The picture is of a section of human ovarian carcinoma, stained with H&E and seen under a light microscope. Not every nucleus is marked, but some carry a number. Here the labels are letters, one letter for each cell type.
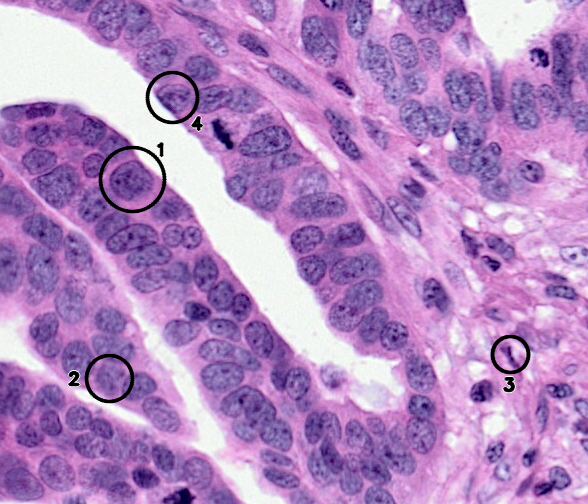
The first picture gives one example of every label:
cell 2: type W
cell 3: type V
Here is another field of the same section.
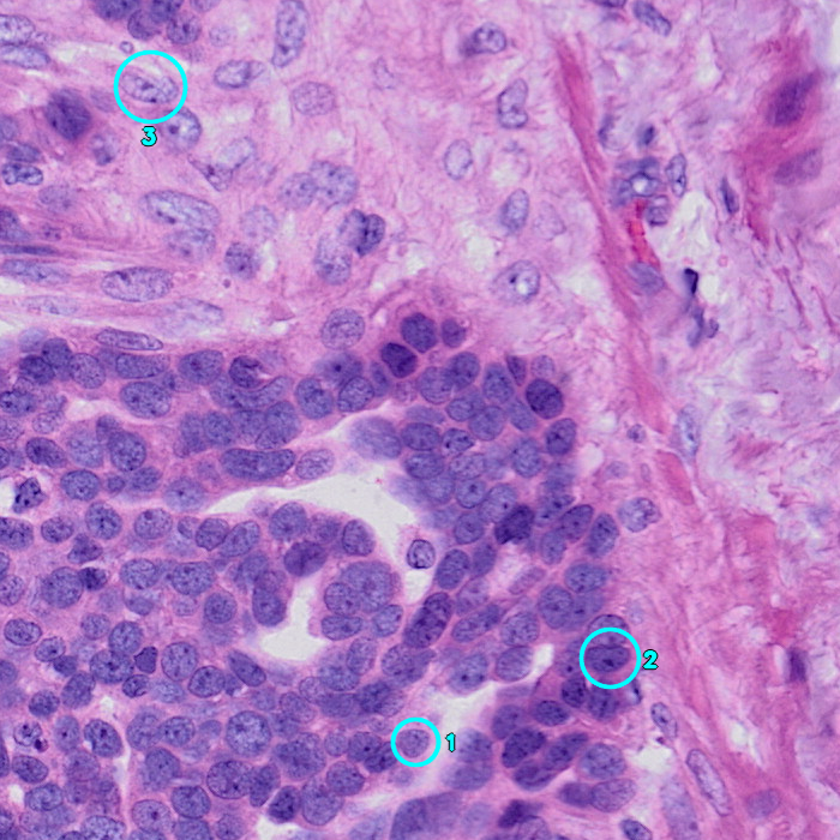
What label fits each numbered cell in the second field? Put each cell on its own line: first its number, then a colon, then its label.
1: type W
2: type W
3: type V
